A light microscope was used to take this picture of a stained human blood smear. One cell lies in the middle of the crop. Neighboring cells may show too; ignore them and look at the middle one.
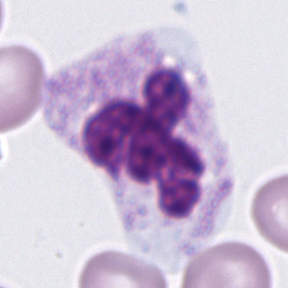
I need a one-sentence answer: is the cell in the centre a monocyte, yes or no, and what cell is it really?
No, the centre cell counts as a neutrophil, not as a monocyte.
